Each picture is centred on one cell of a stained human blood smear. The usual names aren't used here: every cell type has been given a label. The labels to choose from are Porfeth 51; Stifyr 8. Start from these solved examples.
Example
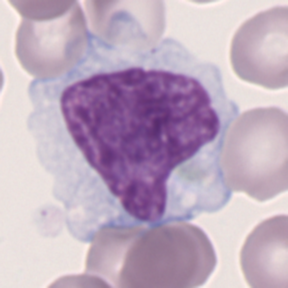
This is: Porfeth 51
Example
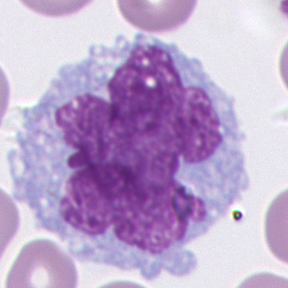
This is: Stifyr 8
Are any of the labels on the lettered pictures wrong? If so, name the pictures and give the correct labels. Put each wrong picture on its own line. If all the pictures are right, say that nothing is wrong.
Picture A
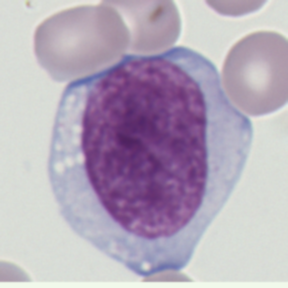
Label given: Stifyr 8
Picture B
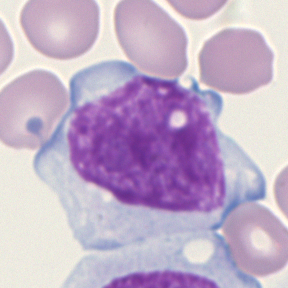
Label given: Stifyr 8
A is labelled Stifyr 8; correct label: Porfeth 51
B is labelled Stifyr 8; correct label: Porfeth 51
